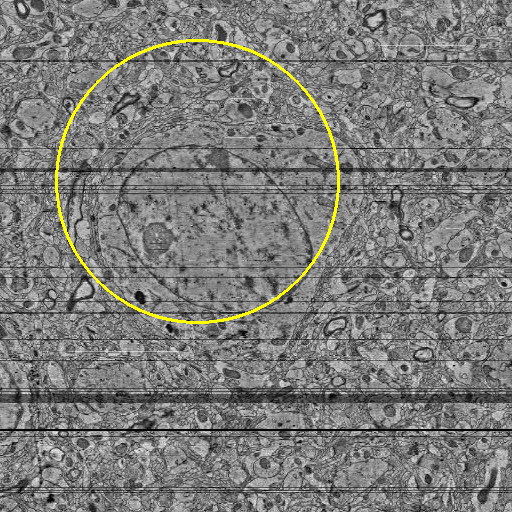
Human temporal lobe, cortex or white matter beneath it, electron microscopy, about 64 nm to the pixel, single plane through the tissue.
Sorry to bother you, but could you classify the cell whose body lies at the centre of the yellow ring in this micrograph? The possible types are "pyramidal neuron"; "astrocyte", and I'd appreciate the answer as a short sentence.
The ringed cell body is that of a pyramidal neuron.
